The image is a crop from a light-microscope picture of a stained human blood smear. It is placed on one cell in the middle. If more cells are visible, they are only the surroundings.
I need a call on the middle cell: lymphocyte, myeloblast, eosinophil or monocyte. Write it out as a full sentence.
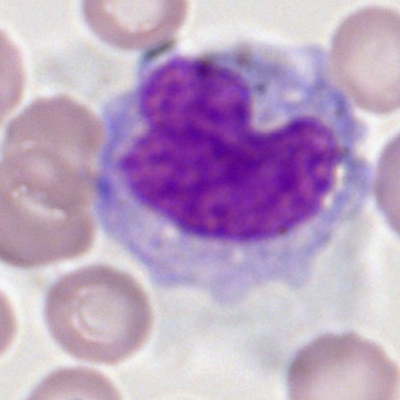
This crop's central cell is a monocyte.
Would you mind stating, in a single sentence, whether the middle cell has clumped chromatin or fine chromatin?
The key point is fine chromatin with no coarse clumps.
